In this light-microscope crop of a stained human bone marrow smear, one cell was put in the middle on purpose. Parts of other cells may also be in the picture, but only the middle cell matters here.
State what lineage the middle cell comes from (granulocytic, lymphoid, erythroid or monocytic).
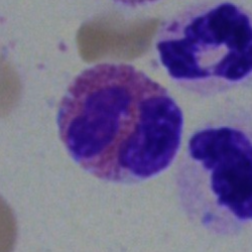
granulocytic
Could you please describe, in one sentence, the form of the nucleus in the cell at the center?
The nucleus here is split into two or more lobes, not one.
